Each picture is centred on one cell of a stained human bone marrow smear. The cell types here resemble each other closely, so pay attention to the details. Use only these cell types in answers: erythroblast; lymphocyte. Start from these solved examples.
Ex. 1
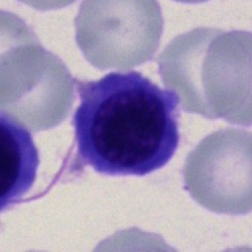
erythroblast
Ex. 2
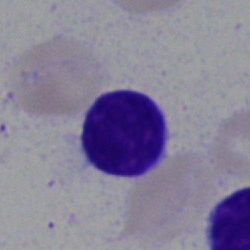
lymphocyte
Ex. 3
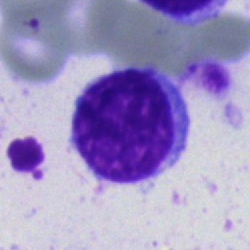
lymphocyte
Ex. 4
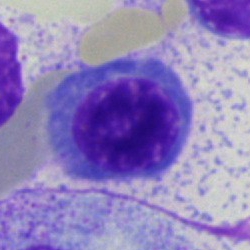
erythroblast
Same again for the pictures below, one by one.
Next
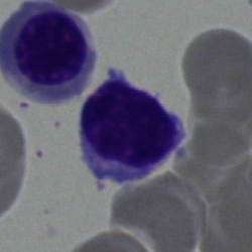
lymphocyte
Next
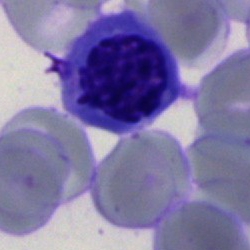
erythroblast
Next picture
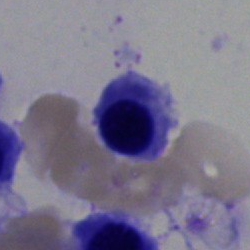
erythroblast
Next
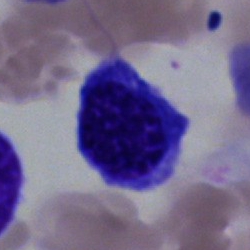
erythroblast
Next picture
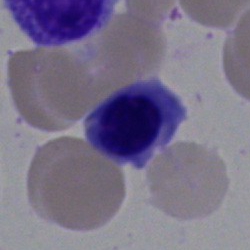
erythroblast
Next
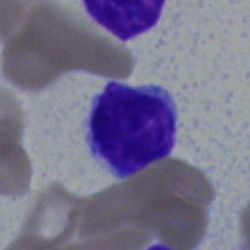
lymphocyte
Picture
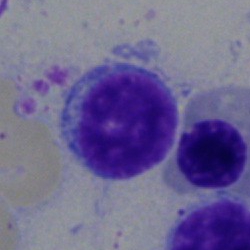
lymphocyte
